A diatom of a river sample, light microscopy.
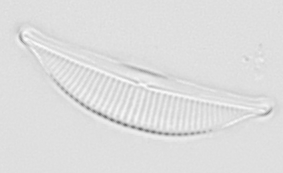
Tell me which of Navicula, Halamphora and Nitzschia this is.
The picture shows Halamphora.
